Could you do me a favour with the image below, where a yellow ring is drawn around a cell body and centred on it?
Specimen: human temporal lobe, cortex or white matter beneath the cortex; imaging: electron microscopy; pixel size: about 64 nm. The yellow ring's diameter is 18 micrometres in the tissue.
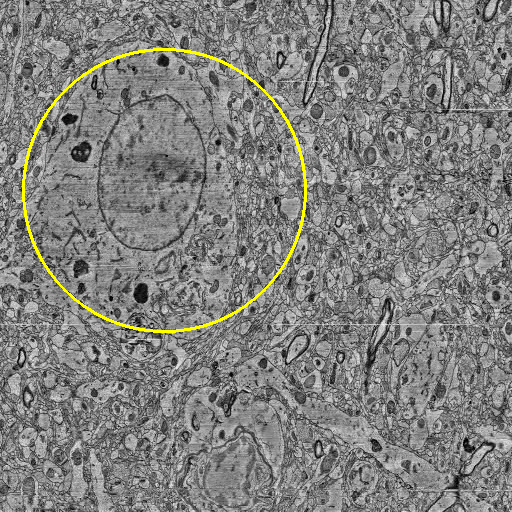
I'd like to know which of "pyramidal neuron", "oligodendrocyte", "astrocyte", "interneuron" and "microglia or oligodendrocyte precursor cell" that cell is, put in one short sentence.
The cell at the ring's centre is a pyramidal neuron.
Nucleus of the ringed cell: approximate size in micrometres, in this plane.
In this plane the nucleus spans approximately 10 by 7 micrometers.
